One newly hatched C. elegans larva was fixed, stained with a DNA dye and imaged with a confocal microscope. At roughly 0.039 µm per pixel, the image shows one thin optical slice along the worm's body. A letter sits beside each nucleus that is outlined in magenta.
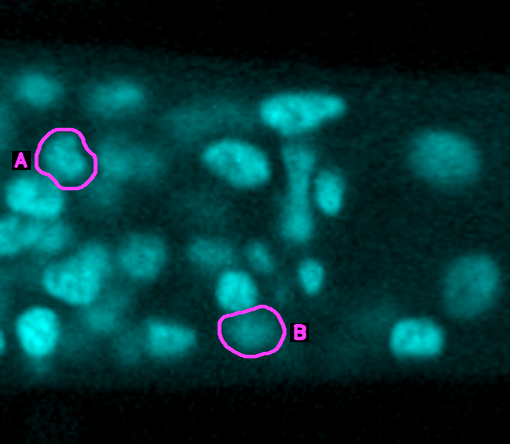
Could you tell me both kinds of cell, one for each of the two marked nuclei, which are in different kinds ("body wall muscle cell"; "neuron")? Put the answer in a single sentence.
A is from a neuron, and B is from a body wall muscle cell.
